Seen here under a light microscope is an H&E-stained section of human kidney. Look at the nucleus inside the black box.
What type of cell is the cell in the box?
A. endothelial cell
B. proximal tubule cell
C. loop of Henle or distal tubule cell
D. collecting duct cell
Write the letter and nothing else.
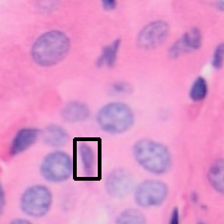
D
